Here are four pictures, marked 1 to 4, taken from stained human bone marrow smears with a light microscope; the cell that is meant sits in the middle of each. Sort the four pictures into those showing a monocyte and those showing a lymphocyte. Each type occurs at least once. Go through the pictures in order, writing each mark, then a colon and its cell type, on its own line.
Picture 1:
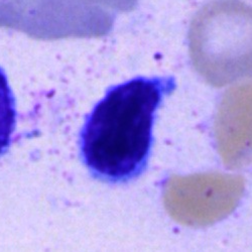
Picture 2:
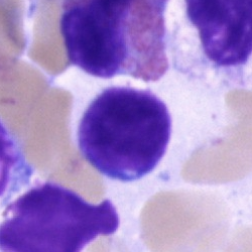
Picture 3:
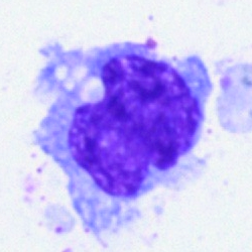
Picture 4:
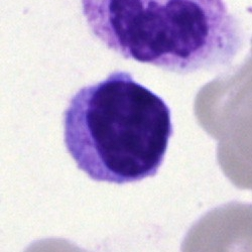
1: lymphocyte
2: lymphocyte
3: monocyte
4: lymphocyte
